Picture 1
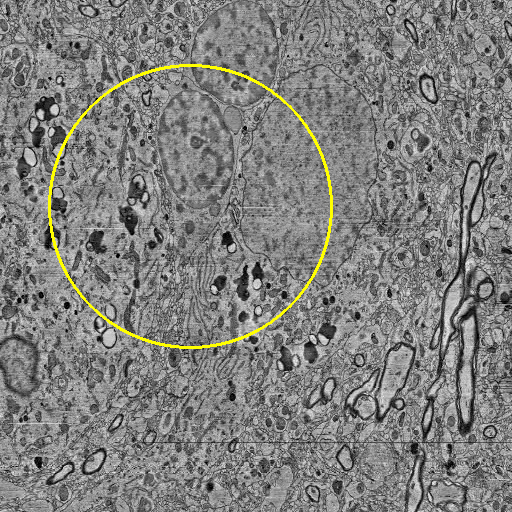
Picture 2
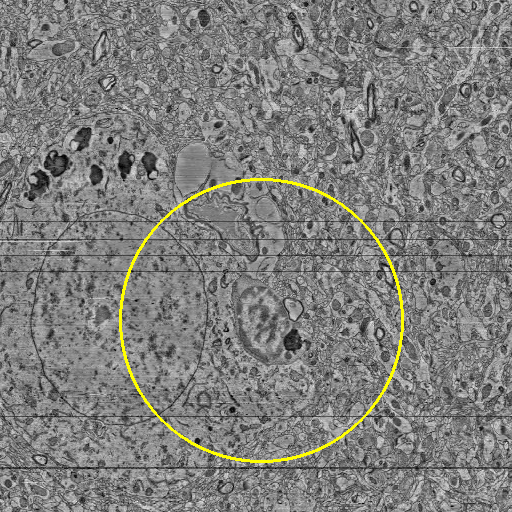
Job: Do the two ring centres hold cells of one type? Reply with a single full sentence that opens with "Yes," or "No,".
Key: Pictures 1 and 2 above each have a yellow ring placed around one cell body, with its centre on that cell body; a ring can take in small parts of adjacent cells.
Yes, the cells at the two ring centres are of one single type.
